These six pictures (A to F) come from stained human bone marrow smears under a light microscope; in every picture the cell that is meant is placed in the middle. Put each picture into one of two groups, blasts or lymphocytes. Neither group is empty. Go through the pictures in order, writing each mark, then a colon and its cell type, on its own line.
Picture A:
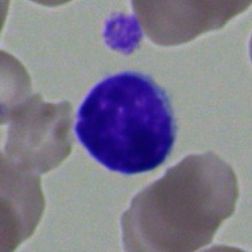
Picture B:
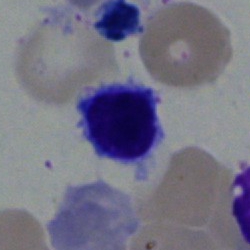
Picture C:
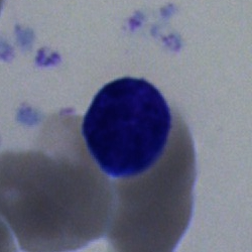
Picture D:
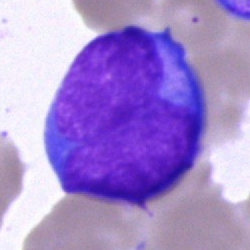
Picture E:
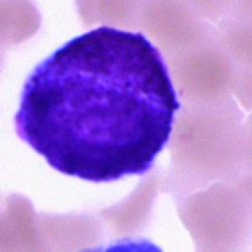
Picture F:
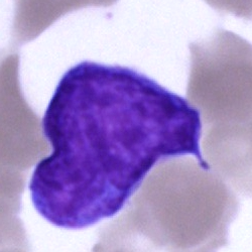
A: lymphocyte
B: lymphocyte
C: lymphocyte
D: blast
E: blast
F: blast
